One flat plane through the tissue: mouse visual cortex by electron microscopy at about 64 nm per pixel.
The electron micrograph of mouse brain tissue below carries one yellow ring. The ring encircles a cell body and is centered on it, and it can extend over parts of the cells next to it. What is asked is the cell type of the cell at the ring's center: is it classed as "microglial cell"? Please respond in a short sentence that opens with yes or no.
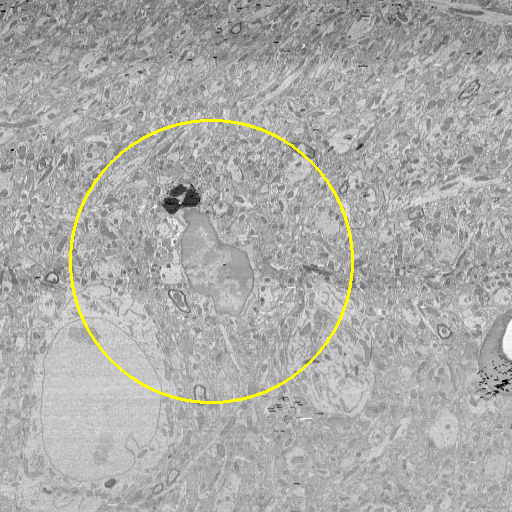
Yes, it is classed that way.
